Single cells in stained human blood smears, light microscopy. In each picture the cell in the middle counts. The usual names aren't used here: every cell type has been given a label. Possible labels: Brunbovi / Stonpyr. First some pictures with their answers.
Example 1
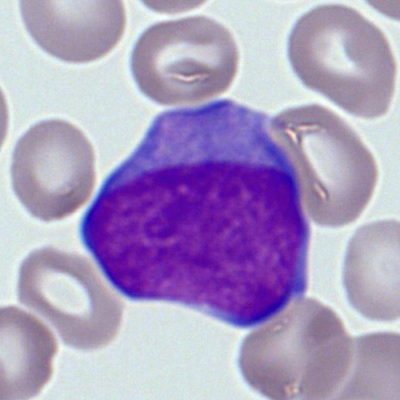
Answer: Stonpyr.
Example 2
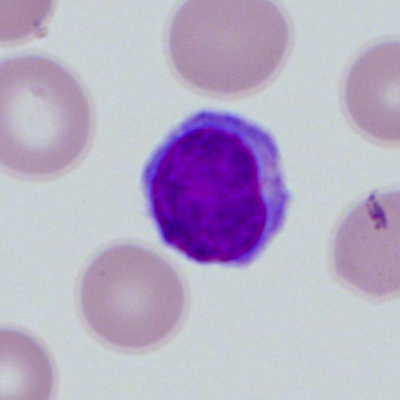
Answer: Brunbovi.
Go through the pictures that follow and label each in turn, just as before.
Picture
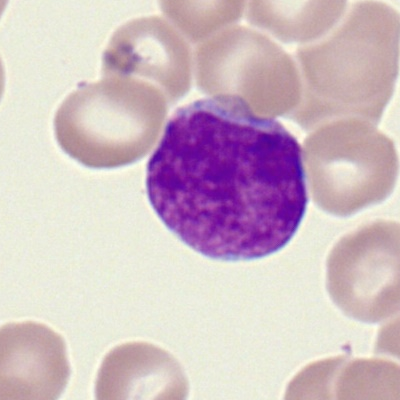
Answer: Stonpyr.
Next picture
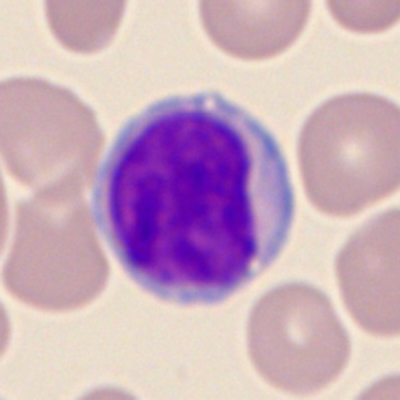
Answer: Brunbovi.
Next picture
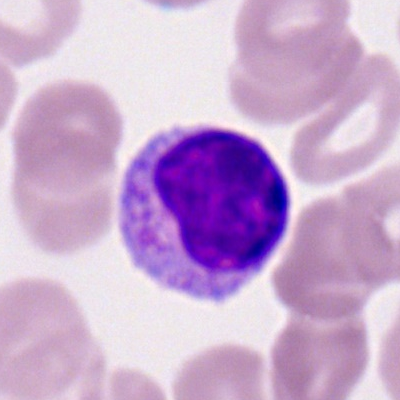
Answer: Brunbovi.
